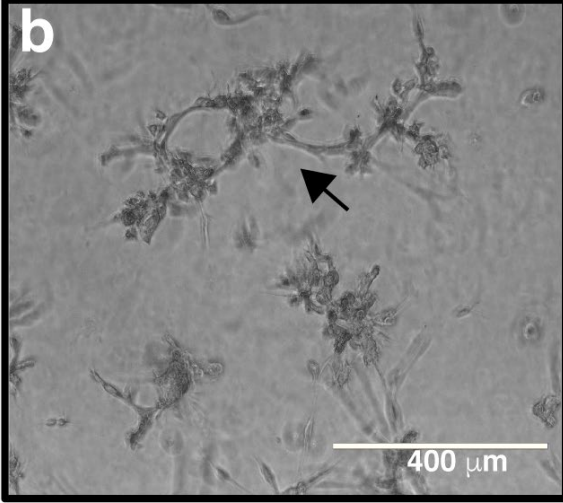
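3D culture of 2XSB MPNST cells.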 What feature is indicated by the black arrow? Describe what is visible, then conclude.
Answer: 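Invasive projections. Thin elongated strands of cells extend out from dark cell clusters. The arrowed strand bridges between clusters across the clear matrix.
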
